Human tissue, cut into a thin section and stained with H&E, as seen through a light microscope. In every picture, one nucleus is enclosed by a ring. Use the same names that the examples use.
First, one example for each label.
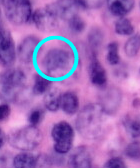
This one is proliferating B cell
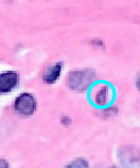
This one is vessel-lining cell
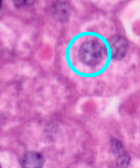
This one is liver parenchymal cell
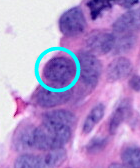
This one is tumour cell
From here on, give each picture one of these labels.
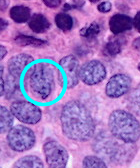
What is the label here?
tumour cell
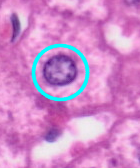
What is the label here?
liver parenchymal cell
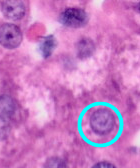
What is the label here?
liver parenchymal cell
